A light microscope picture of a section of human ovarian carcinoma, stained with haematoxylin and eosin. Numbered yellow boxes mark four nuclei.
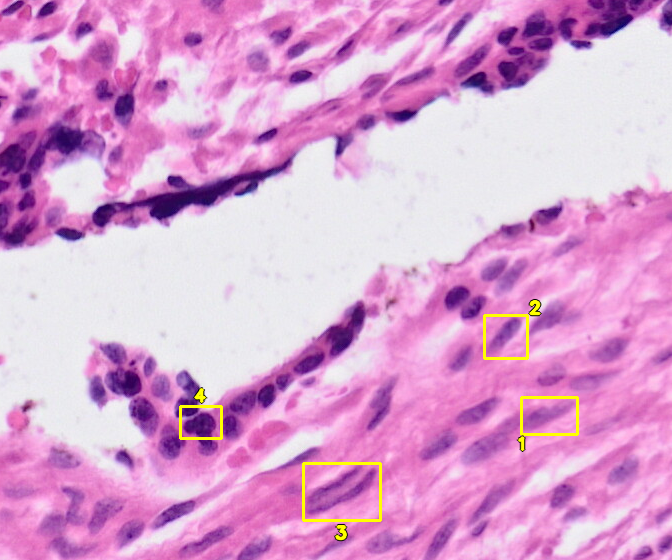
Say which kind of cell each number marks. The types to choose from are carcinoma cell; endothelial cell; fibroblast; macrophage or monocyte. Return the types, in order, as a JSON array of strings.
["fibroblast", "fibroblast", "fibroblast", "carcinoma cell"]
